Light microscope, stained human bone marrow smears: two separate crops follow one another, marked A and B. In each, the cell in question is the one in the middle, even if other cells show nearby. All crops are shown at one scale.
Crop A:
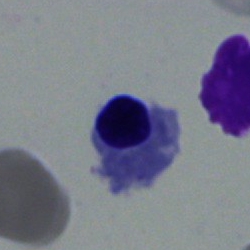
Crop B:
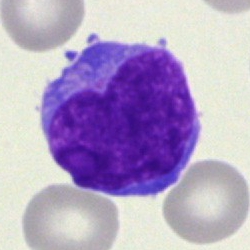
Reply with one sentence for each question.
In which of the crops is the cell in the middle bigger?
Larger is the cell in crop B, at roughly 3 times the area of the other.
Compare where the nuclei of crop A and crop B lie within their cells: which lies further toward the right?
In crop B the nucleus is shifted more toward the right.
